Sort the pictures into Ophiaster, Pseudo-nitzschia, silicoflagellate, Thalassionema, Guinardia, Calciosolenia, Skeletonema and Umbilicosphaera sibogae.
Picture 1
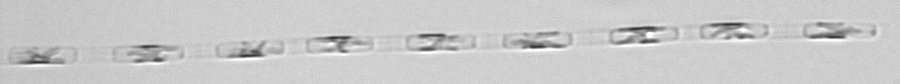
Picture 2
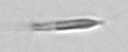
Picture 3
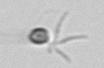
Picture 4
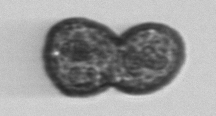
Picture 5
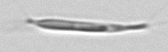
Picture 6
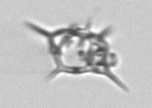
Skeletonema: 1
Calciosolenia: 2, 5
Ophiaster: 3
Umbilicosphaera sibogae: 4
Silicoflagellates: 6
